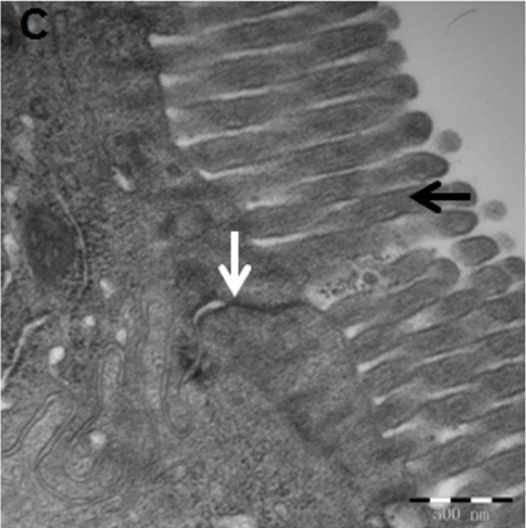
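Intestinal epithelial cells are seen with a brush border of long, parallel microvilli with rounded tips projecting into the lumen. Between two adjacent cells near the base of the microvilli lies a dense junctional contact, the tight junction, from which the lateral cell membranes run down into the cytoplasm, where folded membranes and vesicles are visible.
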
